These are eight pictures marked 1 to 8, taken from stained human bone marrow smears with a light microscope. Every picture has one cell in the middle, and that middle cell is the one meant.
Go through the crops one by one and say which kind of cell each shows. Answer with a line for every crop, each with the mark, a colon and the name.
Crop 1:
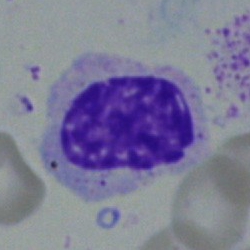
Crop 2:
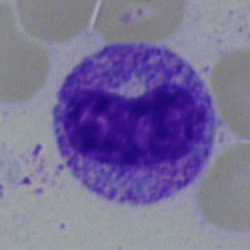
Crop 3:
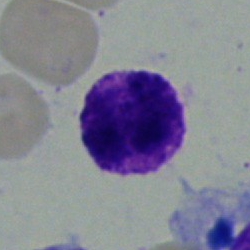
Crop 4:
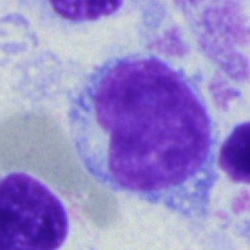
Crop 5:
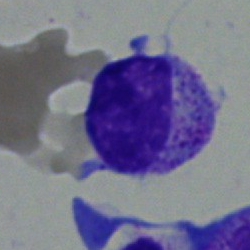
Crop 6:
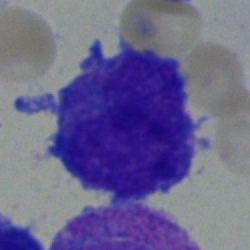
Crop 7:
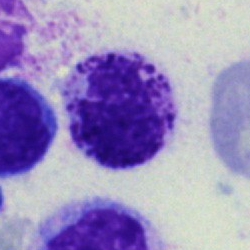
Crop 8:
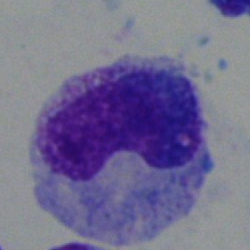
1: myelocyte
2: metamyelocyte
3: basophil
4: hairy cell
5: myelocyte
6: blast
7: basophil
8: monocyte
